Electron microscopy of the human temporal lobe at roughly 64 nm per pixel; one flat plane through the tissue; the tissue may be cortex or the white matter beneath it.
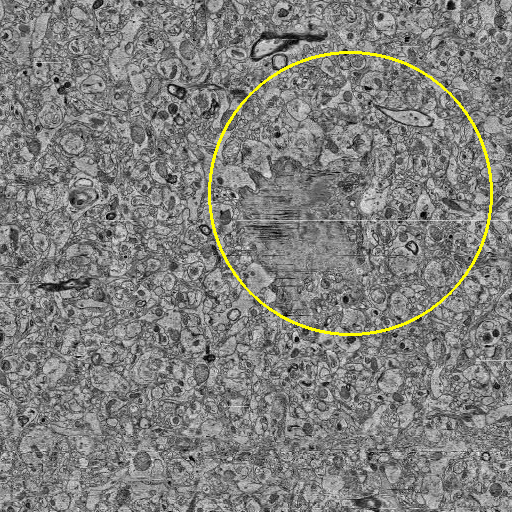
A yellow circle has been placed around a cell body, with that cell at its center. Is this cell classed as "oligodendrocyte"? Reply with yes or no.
Yes, it belongs to that class.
